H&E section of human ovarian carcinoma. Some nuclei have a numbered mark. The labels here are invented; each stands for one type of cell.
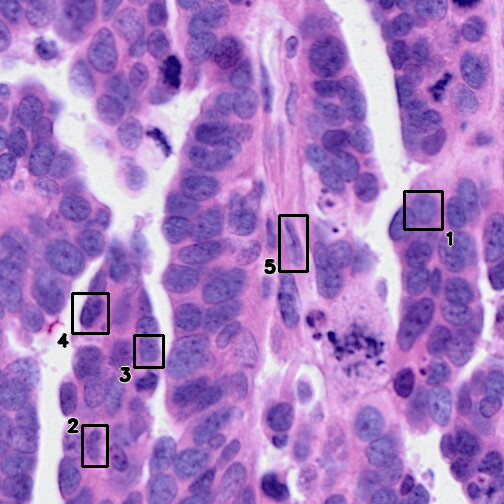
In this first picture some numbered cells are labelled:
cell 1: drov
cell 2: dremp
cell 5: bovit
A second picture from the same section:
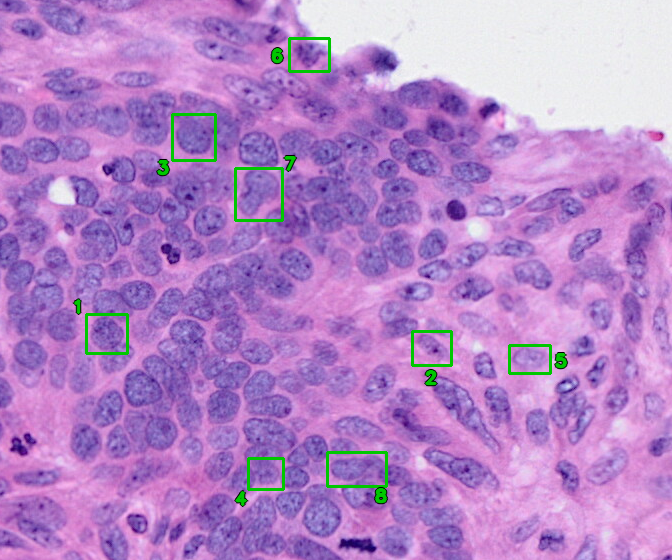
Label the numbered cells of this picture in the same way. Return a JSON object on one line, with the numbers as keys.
{"1": "drov", "2": "bovit", "3": "drov", "4": "drov", "5": "bovit", "6": "dremp", "7": "drov", "8": "drov"}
